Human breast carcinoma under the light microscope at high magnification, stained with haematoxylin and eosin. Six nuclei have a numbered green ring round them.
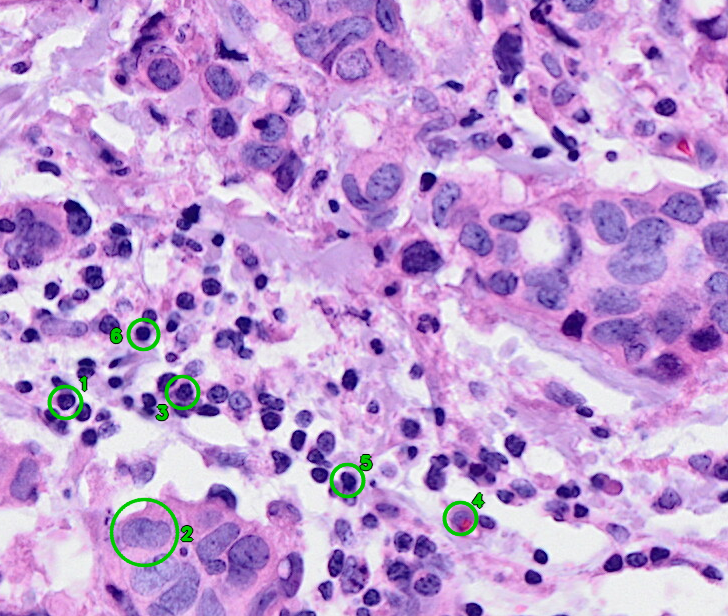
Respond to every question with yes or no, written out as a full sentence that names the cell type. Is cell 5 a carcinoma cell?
No; cell 5 is a lymphocyte, not a carcinoma cell.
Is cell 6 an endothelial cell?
No, number 6 is not an endothelial cell; it is a lymphocyte.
